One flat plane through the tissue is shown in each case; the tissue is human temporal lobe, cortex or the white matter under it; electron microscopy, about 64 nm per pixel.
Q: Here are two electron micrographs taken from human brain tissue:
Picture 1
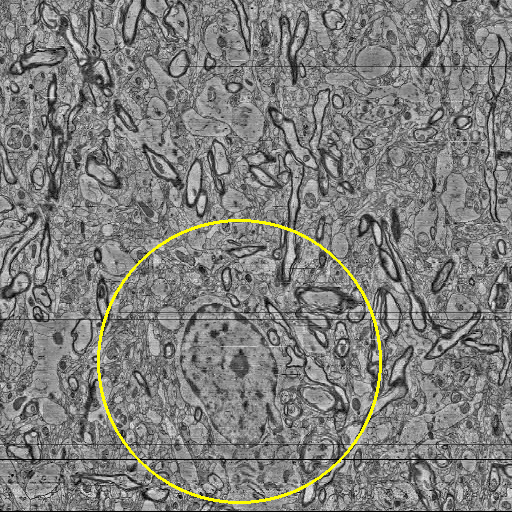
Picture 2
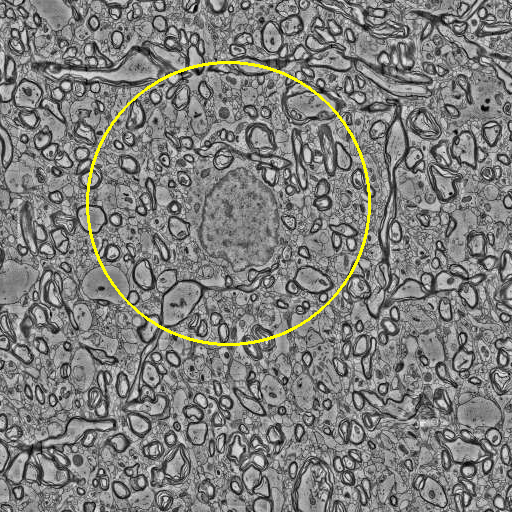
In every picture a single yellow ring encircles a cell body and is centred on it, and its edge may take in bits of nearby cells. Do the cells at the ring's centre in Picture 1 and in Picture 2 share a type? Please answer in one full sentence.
No, the cells at the ring's centre in Picture 1 and Picture 2 are of two types.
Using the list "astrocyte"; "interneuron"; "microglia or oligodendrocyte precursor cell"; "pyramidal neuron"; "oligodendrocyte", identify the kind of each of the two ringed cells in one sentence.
The first is a microglial cell or oligodendrocyte precursor cell and the second is an oligodendrocyte.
